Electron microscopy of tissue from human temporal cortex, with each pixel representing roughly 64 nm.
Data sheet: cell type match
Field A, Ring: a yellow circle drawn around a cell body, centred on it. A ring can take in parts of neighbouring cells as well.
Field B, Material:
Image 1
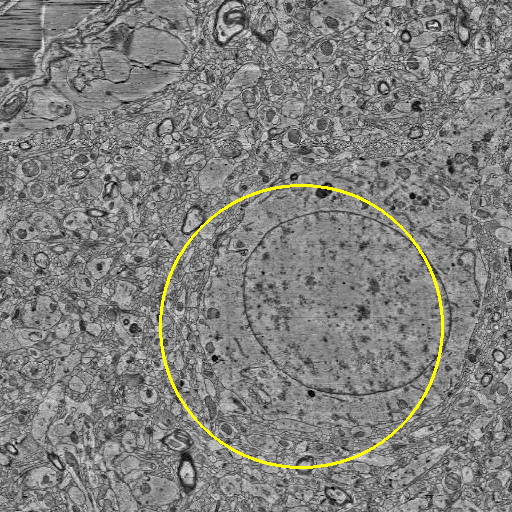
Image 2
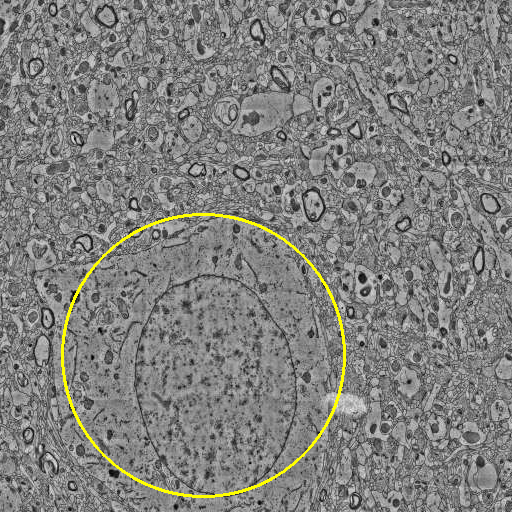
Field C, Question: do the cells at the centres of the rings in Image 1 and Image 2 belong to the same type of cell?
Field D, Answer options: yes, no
yes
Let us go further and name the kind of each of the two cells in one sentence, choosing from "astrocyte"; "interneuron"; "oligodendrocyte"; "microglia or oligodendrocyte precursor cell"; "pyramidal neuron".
The second cell is a pyramidal neuron, just as the first is.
